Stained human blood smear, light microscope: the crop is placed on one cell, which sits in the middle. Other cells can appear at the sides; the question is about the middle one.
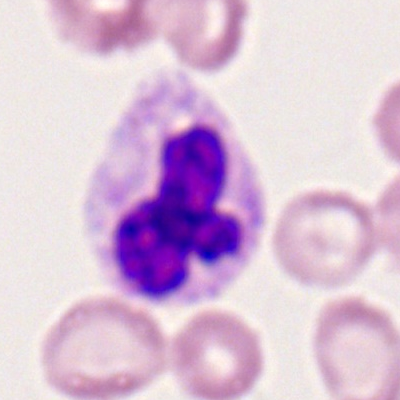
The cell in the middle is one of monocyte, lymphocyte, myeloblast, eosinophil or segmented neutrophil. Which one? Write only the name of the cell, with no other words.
segmented neutrophil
